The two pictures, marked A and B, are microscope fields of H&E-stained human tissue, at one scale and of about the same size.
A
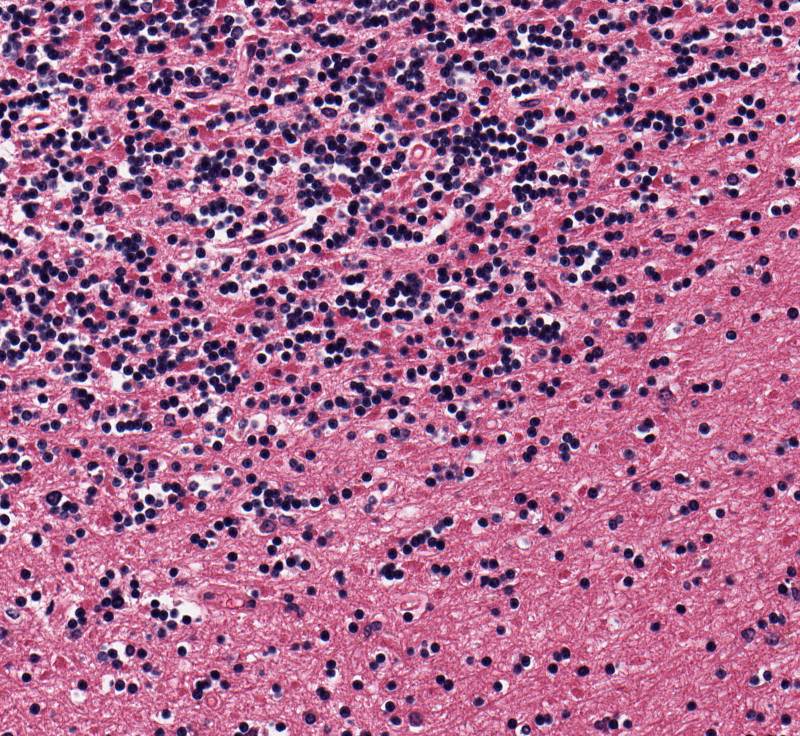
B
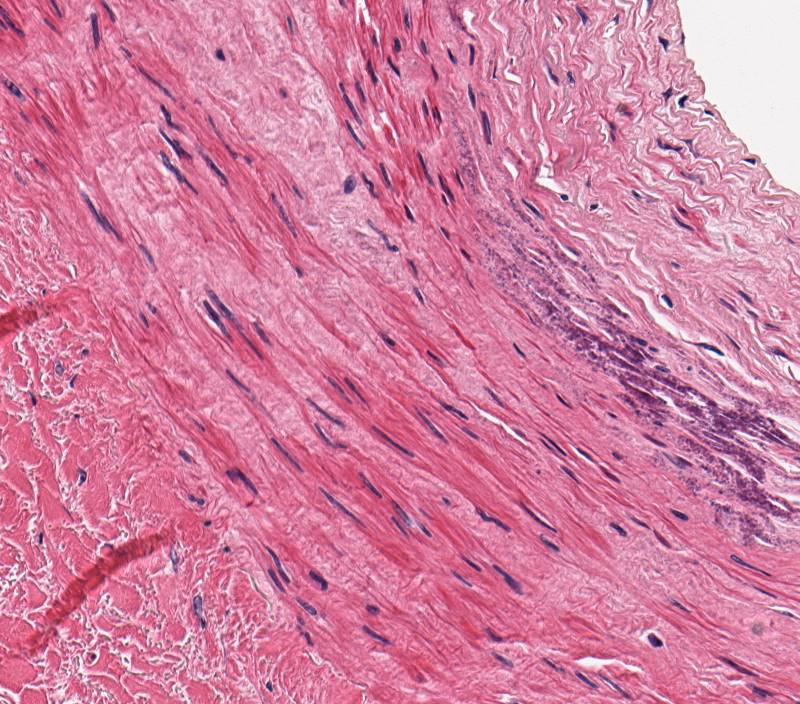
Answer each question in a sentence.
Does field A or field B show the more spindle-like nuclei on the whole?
The nuclei are more elongated in field B.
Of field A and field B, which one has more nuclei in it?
There are more nuclei in field A.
